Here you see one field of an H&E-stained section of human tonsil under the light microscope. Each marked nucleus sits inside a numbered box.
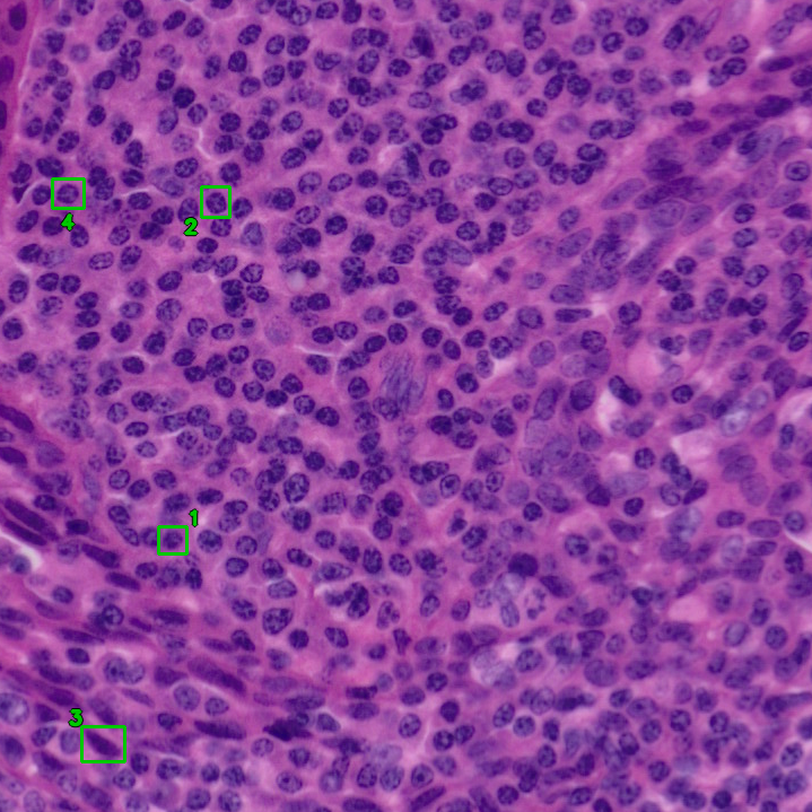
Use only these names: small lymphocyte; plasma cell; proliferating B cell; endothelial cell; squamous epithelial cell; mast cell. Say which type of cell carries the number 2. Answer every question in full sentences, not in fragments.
The cell indicated by marker 2 is a plasma cell in this section.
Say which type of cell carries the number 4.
Cell number 4 in this section is a plasma cell.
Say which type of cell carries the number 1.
In this section, number 1 marks a plasma cell.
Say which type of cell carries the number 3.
The cell to which the number 3 is assigned is a squamous epithelial cell.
